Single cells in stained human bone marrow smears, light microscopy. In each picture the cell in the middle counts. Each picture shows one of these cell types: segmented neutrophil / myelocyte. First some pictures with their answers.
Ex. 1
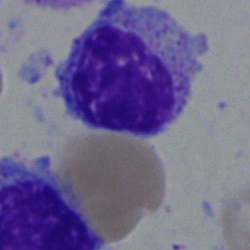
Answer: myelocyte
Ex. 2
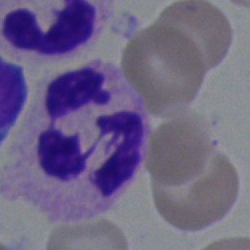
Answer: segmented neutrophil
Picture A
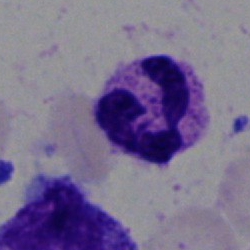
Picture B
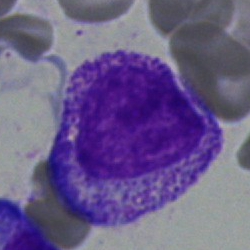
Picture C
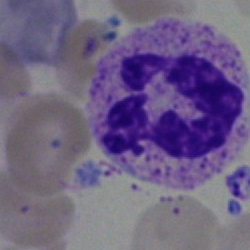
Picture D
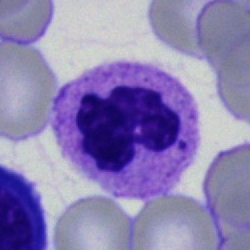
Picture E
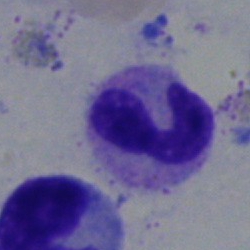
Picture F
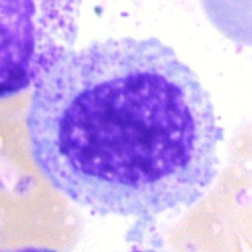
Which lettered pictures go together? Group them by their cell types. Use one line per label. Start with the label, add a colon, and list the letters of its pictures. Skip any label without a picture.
segmented neutrophil: A, C, D, E
myelocyte: B, F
